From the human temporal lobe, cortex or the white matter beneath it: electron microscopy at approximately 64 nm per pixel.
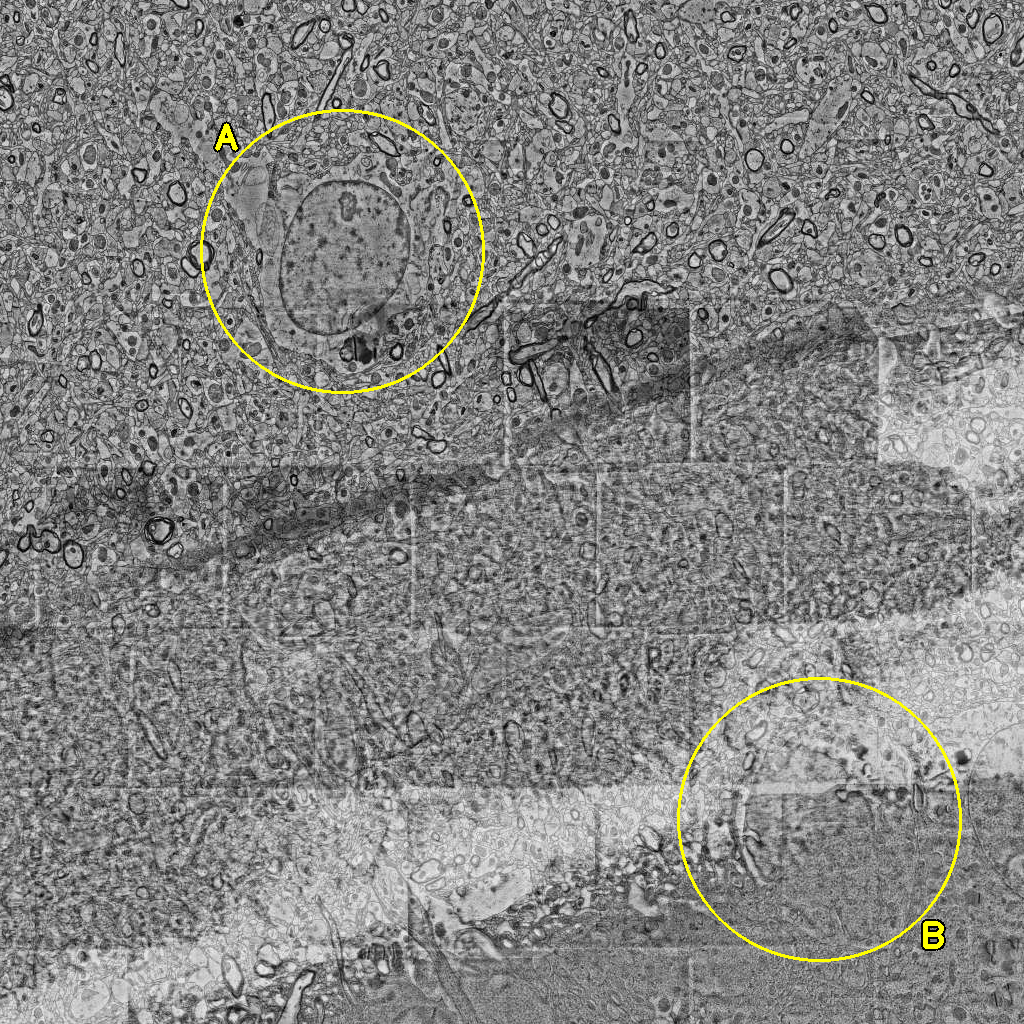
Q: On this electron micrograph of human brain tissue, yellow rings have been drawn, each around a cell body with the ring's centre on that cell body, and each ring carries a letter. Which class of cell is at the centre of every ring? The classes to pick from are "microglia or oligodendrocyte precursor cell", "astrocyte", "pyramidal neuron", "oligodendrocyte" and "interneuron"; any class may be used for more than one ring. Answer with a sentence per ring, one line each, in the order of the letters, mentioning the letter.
The centre of ring A is occupied by an astrocyte.
The centre of ring B is occupied by an interneuron.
